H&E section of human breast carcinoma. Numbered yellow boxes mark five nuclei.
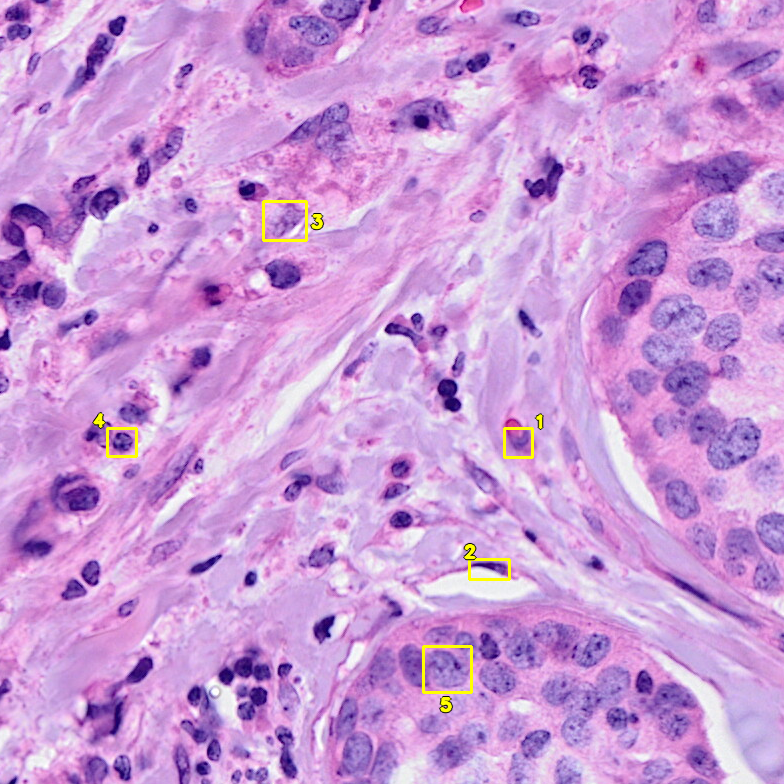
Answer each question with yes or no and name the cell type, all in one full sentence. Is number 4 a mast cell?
Yes, of the numbered cells, number 4 is a mast cell.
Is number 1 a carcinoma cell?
No, it is an endothelial cell, not a carcinoma cell, that number 1 marks.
